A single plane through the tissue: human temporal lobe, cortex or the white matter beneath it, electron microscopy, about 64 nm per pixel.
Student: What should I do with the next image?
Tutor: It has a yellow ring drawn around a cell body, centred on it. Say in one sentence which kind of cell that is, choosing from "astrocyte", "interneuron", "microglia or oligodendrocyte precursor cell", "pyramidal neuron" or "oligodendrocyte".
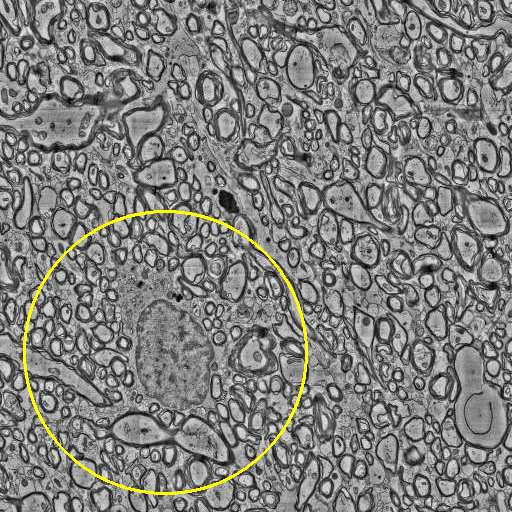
The ring's centre is occupied by an oligodendrocyte.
